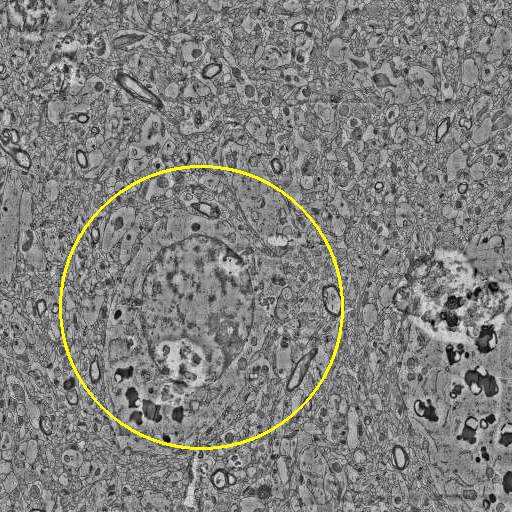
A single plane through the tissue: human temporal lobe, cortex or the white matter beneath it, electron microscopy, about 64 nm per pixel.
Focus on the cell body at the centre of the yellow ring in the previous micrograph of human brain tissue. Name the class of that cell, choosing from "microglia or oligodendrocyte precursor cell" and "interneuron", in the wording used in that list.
interneuron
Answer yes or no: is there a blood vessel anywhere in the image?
No, none shows.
